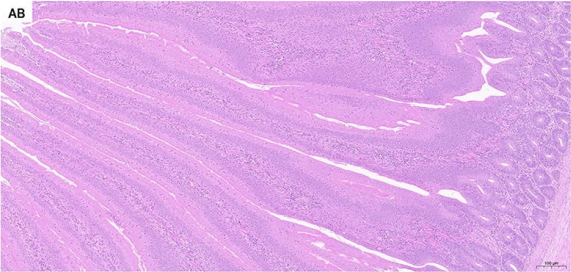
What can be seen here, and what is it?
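Small intestinal mucosa with long, slender villi running in parallel, diagonally across the field. Narrow white lumen clefts separate neighbouring villi. At the right edge, crypts appear as rounded and tubular glandular profiles with densely purple epithelium at the villus bases. A band of pale pink smooth muscle borders the tissue at the far right.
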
